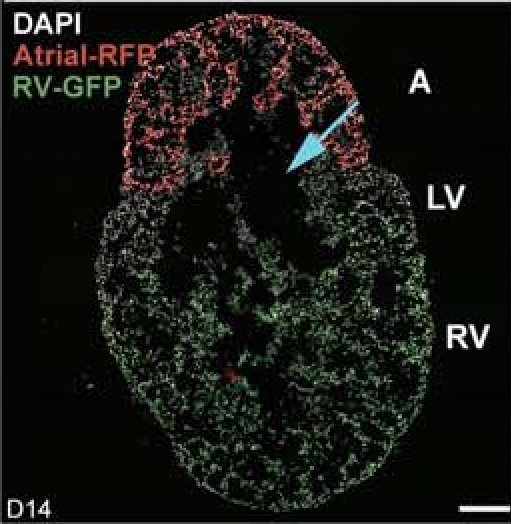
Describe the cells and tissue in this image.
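Cross-section through an oval heart organoid made of fused chambers. The interior space of the top region opens into the space of the lower regions without a continuous separating wall, forming one common cavity.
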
